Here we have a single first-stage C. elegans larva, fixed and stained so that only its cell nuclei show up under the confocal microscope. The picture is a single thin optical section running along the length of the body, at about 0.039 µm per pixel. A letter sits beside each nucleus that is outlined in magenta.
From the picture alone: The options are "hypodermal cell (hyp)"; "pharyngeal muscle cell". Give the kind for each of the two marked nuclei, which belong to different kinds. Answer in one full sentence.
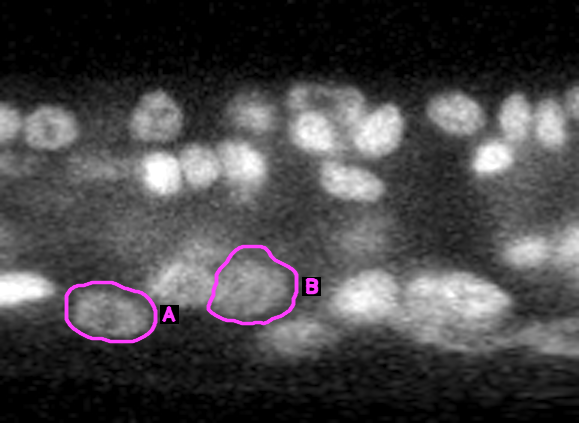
A is from a hypodermal cell (hyp), and B is from a pharyngeal muscle cell.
